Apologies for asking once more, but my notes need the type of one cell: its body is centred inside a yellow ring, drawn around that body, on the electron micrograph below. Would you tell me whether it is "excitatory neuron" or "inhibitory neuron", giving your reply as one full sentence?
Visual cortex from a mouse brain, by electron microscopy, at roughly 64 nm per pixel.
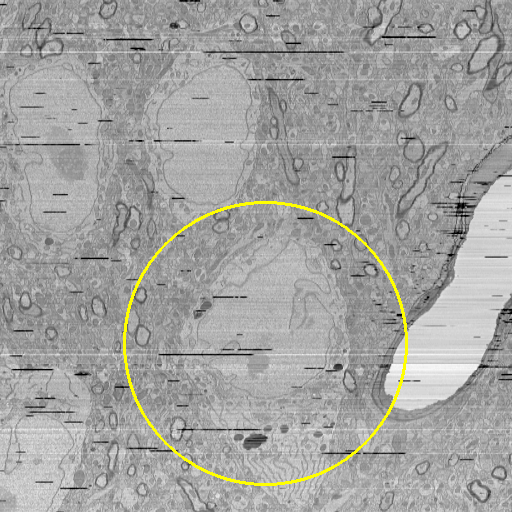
The cell that the yellow ring is centred on is an inhibitory neuron in this micrograph.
